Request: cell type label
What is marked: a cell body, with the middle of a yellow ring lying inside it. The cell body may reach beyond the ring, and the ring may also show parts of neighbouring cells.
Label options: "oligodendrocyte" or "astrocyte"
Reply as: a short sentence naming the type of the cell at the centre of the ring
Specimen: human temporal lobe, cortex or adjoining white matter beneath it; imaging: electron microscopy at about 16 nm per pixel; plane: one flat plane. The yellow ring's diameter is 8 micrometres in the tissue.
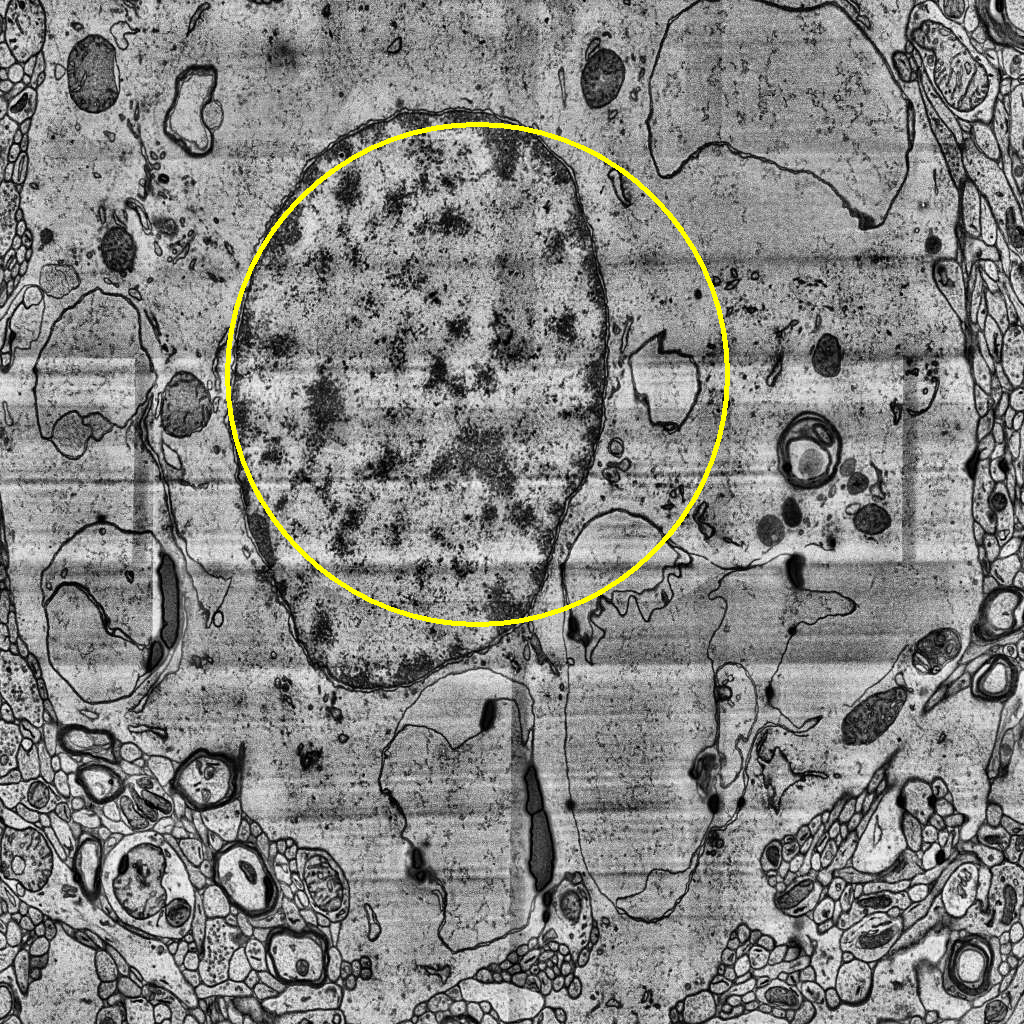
The marked cell body is that of an astrocyte.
